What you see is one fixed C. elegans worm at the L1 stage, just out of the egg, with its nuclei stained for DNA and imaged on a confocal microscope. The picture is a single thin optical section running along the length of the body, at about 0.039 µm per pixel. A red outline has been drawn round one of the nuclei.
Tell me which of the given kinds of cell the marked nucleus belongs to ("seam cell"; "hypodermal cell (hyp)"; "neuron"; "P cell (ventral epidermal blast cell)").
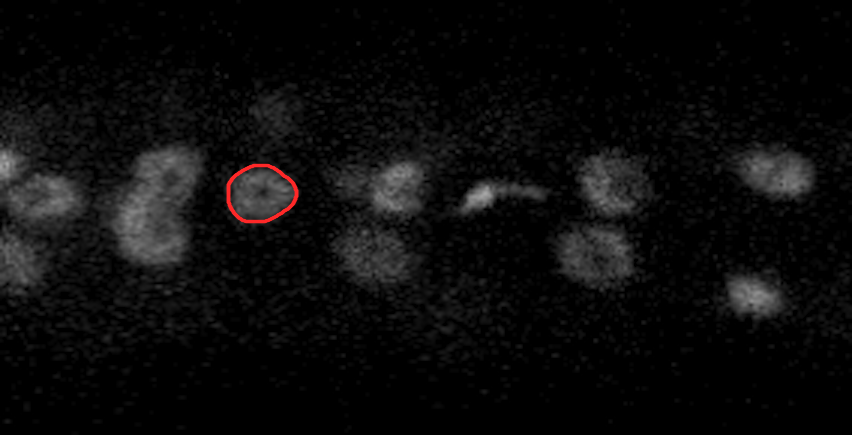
hypodermal cell (hyp)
